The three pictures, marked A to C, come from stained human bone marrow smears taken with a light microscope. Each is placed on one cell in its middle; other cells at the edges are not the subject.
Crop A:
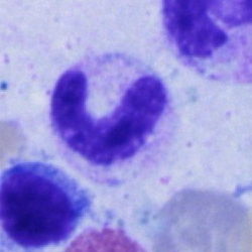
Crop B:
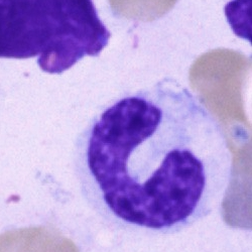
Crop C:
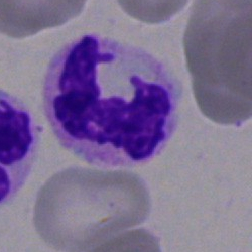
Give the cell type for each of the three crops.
A: band neutrophil
B: band neutrophil
C: segmented neutrophil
